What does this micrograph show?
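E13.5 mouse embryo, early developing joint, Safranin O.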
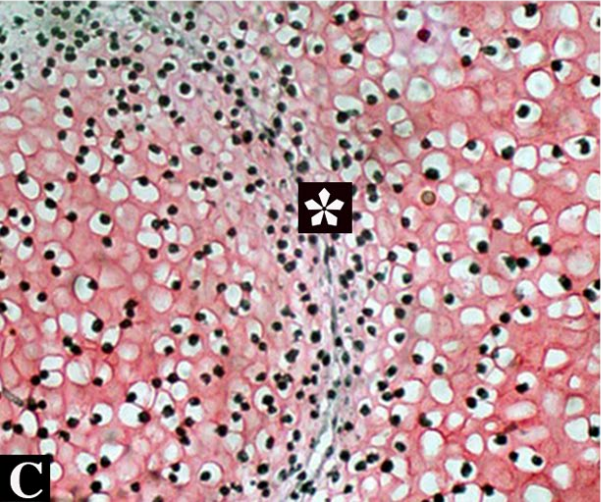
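On either side the cells are rounded chondrocytes, each sitting in a clear lacuna with a dark nucleus, set in a red-pink matrix. Through the centre runs a band of much smaller, flattened cells packed closely together. In this band the red matrix is weaker and the cells lack the clear halos seen in the cartilage around it.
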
